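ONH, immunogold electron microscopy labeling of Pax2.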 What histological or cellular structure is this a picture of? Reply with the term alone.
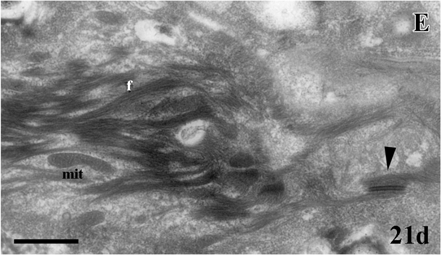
Intermediate filament packages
